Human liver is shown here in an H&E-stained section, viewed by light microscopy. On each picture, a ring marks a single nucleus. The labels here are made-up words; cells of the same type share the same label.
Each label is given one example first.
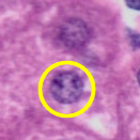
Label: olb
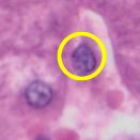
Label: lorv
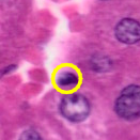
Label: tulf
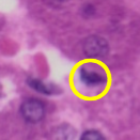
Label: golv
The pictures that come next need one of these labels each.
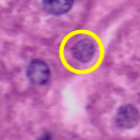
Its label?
lorv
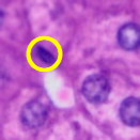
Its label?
tulf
